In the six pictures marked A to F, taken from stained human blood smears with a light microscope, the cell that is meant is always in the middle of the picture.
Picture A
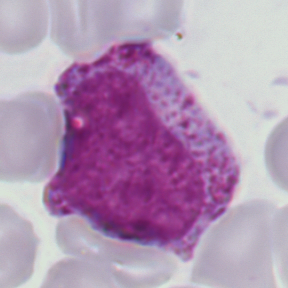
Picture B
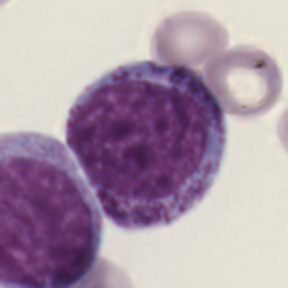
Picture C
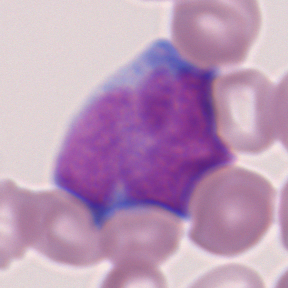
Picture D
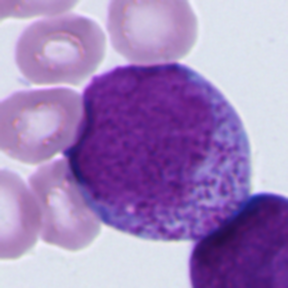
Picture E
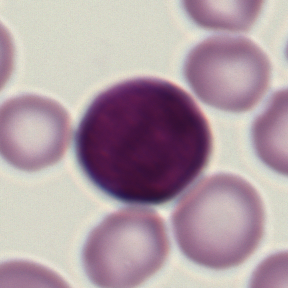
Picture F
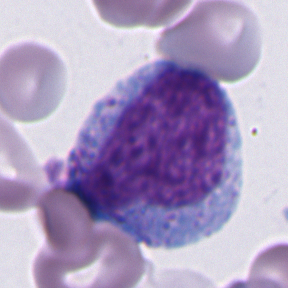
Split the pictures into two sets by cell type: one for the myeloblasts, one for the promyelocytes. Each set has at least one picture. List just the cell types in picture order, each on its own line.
promyelocyte
promyelocyte
myeloblast
promyelocyte
myeloblast
promyelocyte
